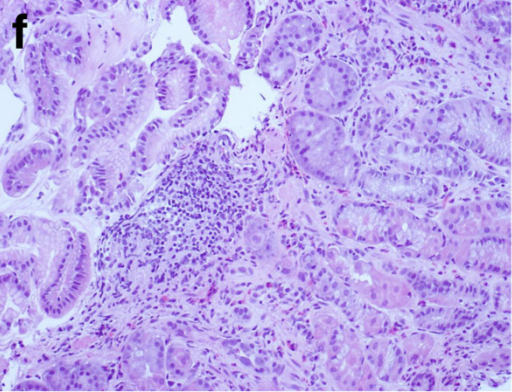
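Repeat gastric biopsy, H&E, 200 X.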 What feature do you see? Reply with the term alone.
Small loose lymphoid aggregates.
